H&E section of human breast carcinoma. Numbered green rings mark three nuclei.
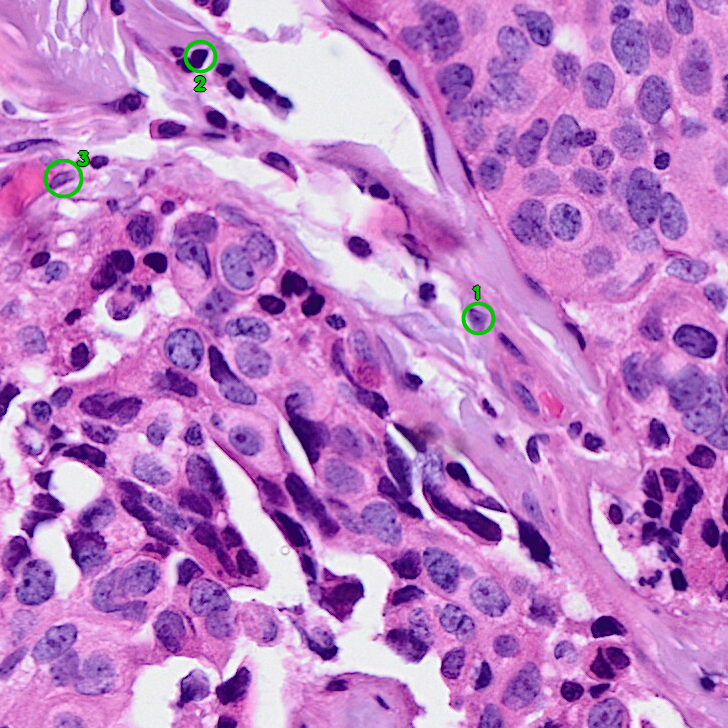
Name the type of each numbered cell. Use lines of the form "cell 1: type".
cell 1: fibroblast
cell 2: lymphocyte
cell 3: endothelial cell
